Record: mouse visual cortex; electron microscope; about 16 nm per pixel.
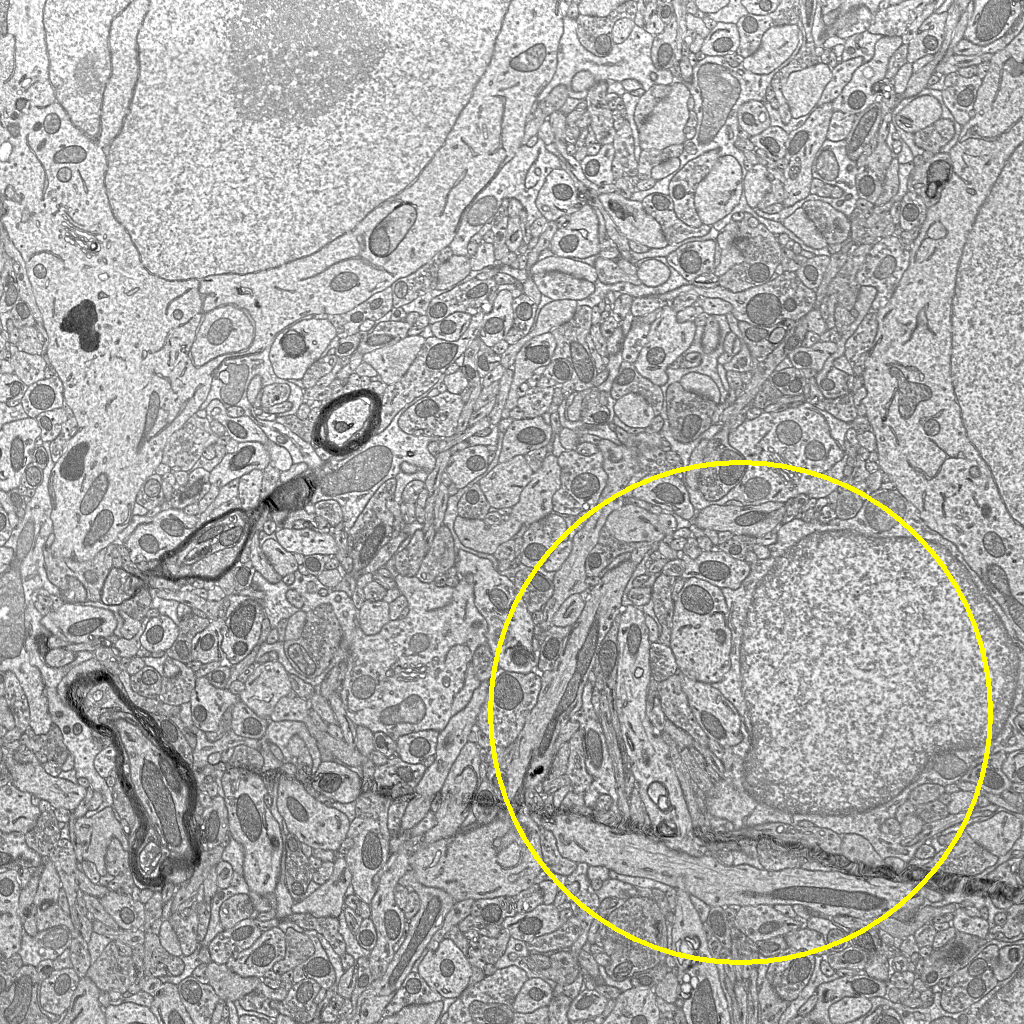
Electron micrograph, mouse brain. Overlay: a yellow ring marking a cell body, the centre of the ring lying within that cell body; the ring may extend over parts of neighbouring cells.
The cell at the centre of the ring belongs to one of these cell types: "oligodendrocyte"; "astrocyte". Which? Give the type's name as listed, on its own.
astrocyte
